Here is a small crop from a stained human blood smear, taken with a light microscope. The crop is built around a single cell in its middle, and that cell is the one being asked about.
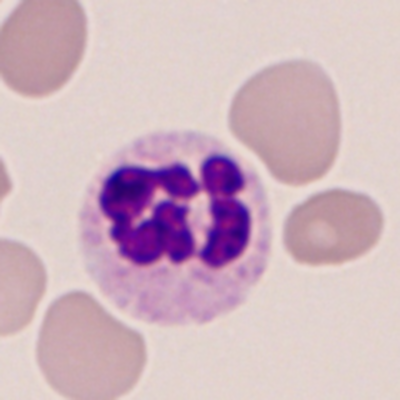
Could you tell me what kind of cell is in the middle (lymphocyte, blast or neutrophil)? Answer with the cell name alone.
neutrophil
